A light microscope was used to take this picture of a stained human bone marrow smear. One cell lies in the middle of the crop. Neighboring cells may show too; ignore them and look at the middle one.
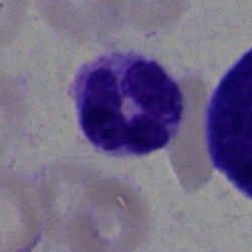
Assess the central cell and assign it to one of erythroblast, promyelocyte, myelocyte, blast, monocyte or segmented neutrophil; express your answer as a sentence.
In the middle of this smear crop is a segmented neutrophil.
